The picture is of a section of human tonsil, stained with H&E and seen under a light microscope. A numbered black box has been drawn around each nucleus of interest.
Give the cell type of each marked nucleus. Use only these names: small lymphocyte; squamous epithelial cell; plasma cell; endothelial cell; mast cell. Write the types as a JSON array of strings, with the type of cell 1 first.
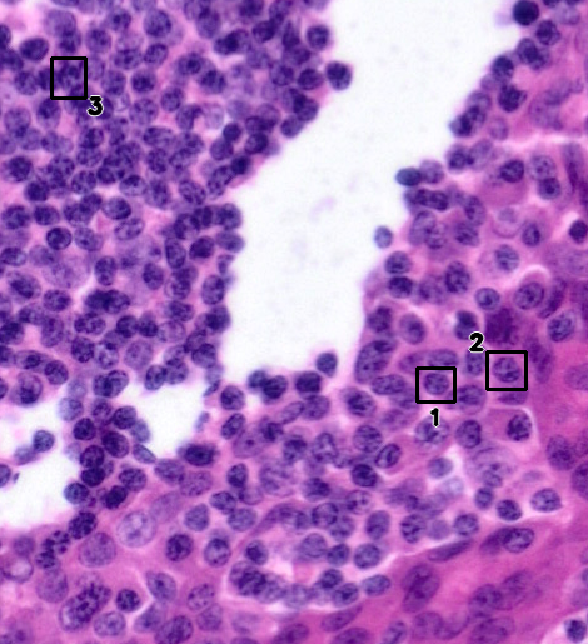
["plasma cell", "plasma cell", "small lymphocyte"]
